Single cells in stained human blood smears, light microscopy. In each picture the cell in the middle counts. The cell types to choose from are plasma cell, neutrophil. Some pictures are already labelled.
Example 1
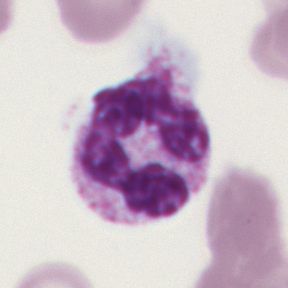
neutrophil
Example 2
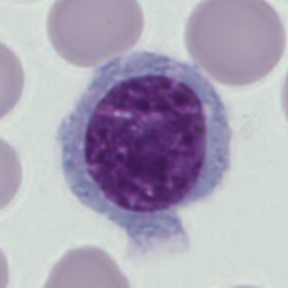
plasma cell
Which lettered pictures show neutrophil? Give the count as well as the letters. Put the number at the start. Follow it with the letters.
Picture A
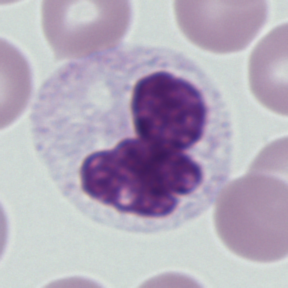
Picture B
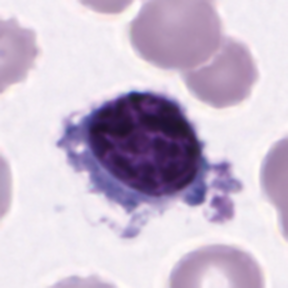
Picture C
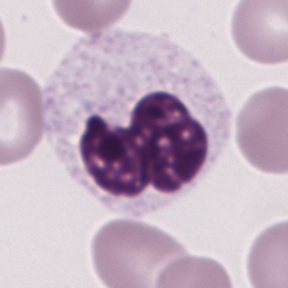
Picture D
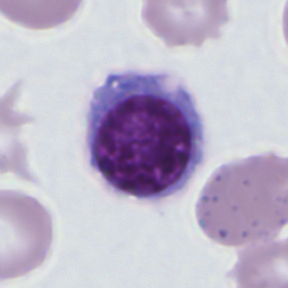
2: A, C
